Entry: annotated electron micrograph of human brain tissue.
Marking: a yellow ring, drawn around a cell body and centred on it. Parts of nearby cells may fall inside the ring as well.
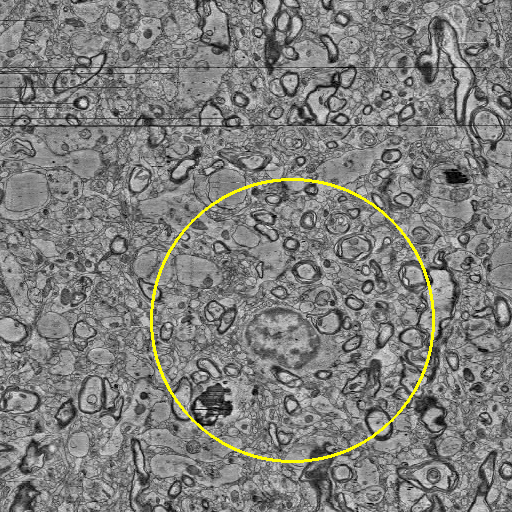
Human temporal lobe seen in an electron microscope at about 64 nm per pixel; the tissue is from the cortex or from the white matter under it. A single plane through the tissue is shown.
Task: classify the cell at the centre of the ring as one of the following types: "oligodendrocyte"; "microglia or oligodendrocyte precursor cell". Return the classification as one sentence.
The marked cell is classified as an oligodendrocyte.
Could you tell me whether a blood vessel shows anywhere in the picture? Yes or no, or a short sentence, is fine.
No, none appears.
